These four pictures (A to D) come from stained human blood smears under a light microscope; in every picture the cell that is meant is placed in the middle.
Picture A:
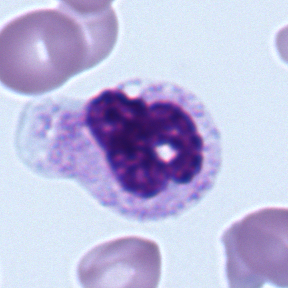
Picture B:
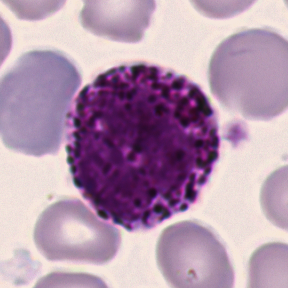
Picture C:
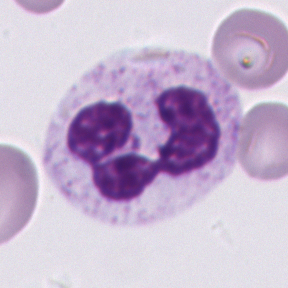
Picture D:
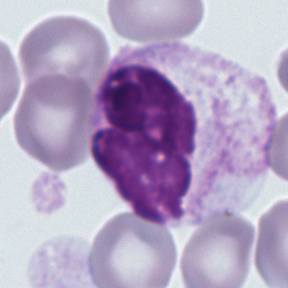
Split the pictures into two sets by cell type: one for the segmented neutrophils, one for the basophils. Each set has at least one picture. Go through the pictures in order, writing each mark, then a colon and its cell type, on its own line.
A: segmented neutrophil
B: basophil
C: segmented neutrophil
D: segmented neutrophil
